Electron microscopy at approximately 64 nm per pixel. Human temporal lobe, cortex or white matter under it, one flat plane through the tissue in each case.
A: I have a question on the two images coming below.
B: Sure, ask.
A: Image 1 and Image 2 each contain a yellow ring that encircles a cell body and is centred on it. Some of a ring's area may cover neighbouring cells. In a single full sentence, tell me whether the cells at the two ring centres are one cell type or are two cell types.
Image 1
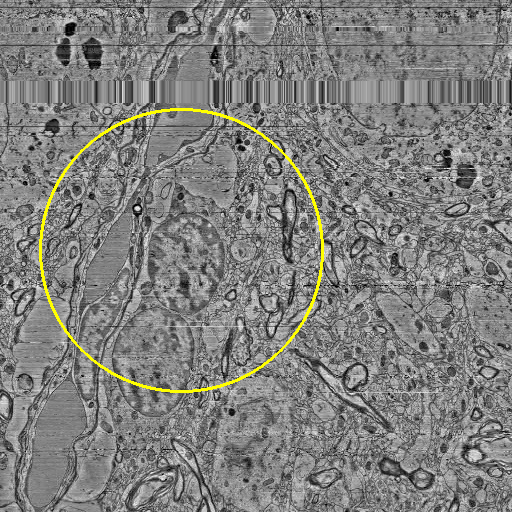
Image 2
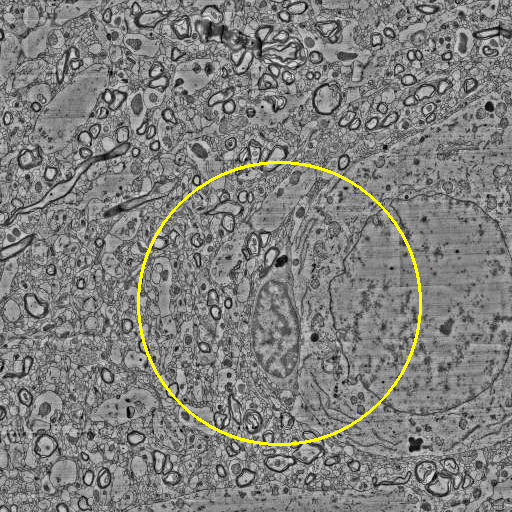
As for the ring-centre cells, the one in Image 1 and the one in Image 2 are one cell type.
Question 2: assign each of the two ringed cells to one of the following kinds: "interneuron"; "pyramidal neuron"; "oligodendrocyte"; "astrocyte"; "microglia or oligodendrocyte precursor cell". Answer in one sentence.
Each one of the two ringed cells is an oligodendrocyte.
